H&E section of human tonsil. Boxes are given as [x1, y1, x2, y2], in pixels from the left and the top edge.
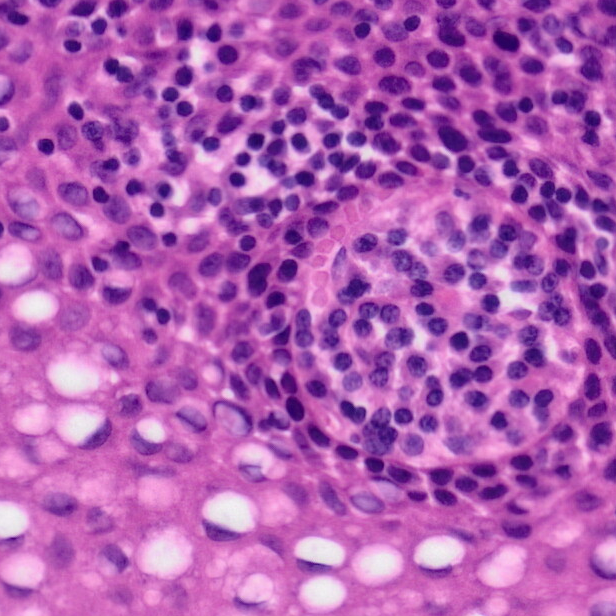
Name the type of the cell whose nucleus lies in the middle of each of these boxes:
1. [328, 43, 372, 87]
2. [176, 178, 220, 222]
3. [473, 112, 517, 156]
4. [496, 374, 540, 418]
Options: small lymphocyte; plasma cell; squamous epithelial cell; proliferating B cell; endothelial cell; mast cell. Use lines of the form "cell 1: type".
cell 1: squamous epithelial cell
cell 2: squamous epithelial cell
cell 3: squamous epithelial cell
cell 4: plasma cell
